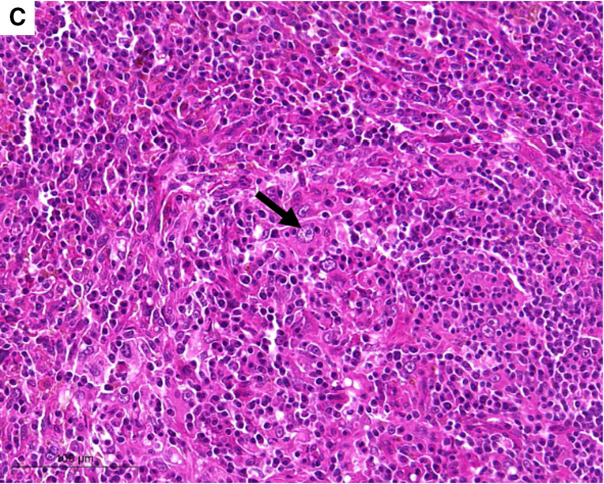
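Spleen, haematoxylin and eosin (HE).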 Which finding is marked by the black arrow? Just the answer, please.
Prominent nuclear atypia.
